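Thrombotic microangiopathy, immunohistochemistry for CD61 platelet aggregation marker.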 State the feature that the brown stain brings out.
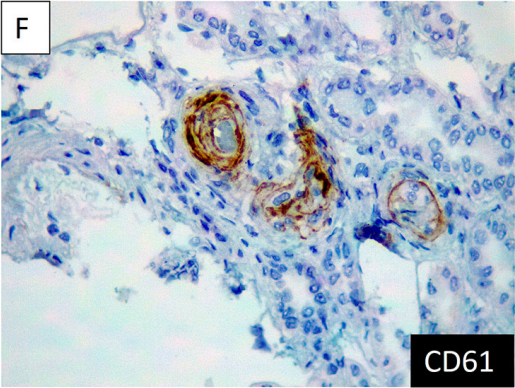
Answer: Walls and lumen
